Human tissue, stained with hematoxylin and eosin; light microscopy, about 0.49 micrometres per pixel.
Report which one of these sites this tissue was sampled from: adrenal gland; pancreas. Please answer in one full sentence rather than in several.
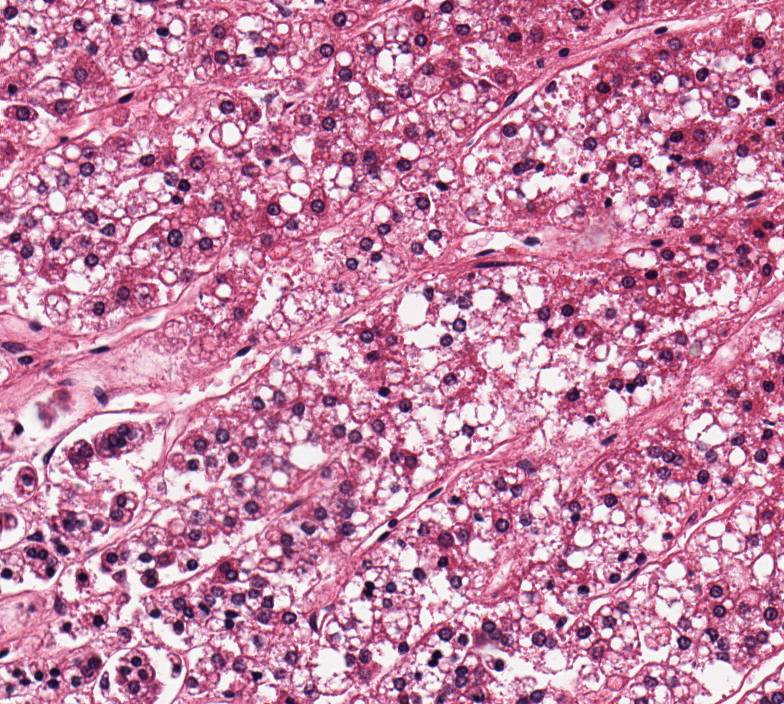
It is the adrenal gland from which this tissue was sampled.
